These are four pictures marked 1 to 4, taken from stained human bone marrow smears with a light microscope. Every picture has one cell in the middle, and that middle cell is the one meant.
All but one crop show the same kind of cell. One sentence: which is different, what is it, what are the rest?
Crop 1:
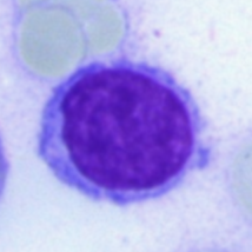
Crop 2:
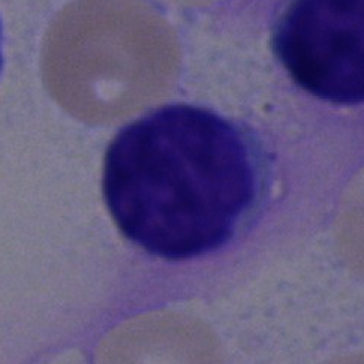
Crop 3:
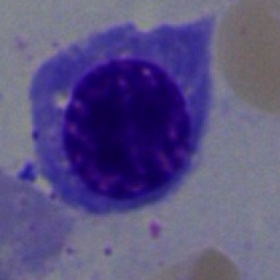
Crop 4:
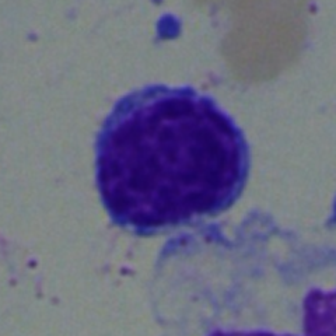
Crop 3 is an erythroblast, while the rest of the set consists of lymphocytes.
